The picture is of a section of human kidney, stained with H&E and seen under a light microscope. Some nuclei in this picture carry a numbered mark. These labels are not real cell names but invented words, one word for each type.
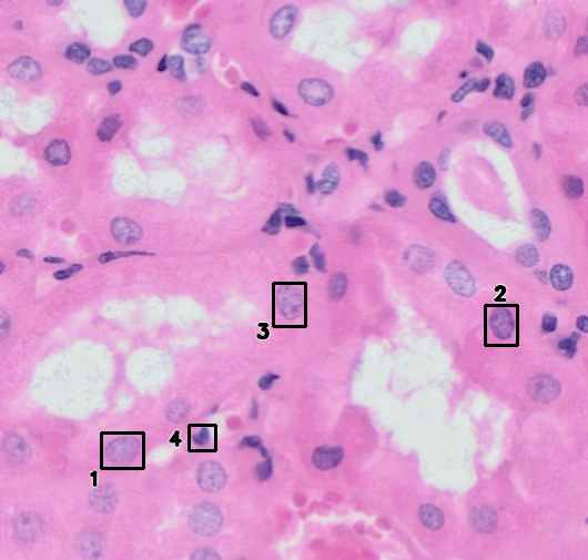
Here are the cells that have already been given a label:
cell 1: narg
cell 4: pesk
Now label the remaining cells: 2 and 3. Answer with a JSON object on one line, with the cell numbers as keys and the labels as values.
{"2": "narg", "3": "narg"}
